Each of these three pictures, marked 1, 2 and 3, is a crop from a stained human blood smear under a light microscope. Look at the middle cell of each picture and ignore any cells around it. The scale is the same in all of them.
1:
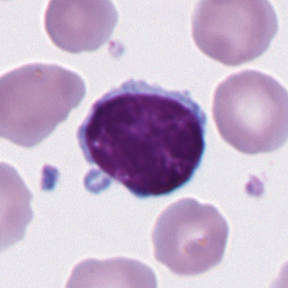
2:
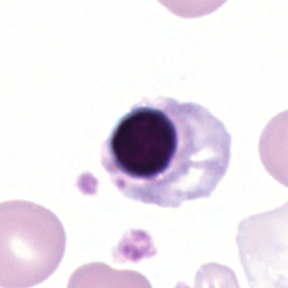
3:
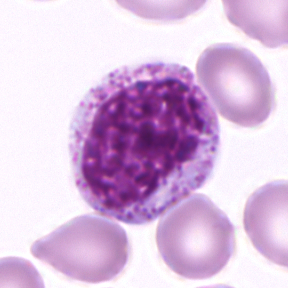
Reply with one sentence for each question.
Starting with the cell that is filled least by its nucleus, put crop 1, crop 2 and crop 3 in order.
The least filled comes first: 2, 3, 1.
